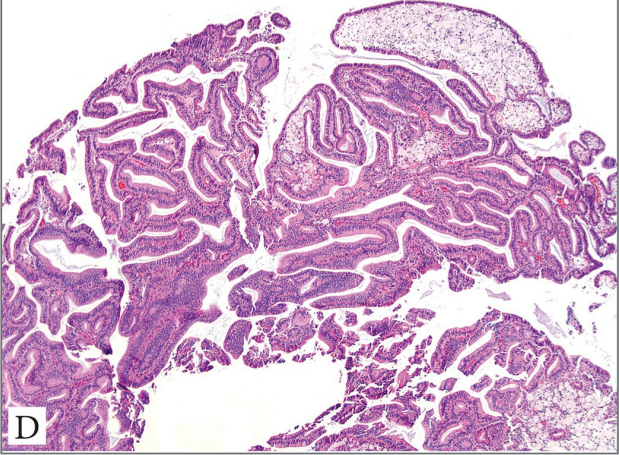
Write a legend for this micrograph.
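This is a polyp of the gallbladder mucosa made of long, branching papillary fronds lined by a single layer of tall columnar epithelial cells. The epithelial nuclei are elongated and somewhat crowded and darker than normal, in keeping with low grade change, while the cytoplasm stays pink. The fronds have thin fibrovascular cores with small red blood vessels. In several places, most strikingly in a rounded bulging tip at the top and at the lower right, the stroma is filled with sheets of pale, foamy, finely vacuolated cells, the lipid-laden macrophages typical of a cholesterol polyp. The spaces between the fronds are open and empty.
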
